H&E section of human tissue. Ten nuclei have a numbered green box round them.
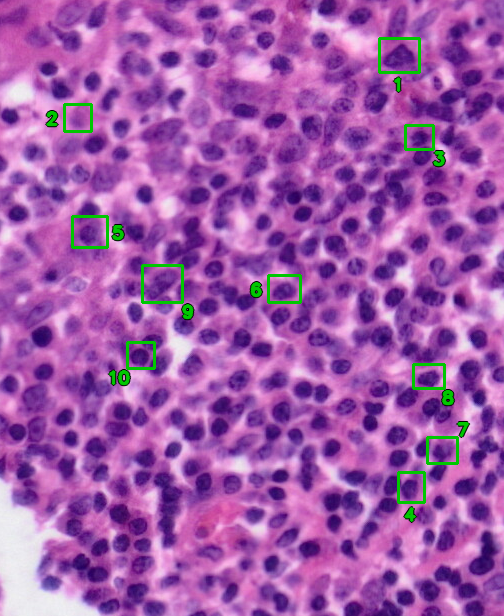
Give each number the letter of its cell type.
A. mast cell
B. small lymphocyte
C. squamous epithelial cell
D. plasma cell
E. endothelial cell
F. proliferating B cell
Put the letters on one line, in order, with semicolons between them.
C; C; D; D; C; D; D; D; C; D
